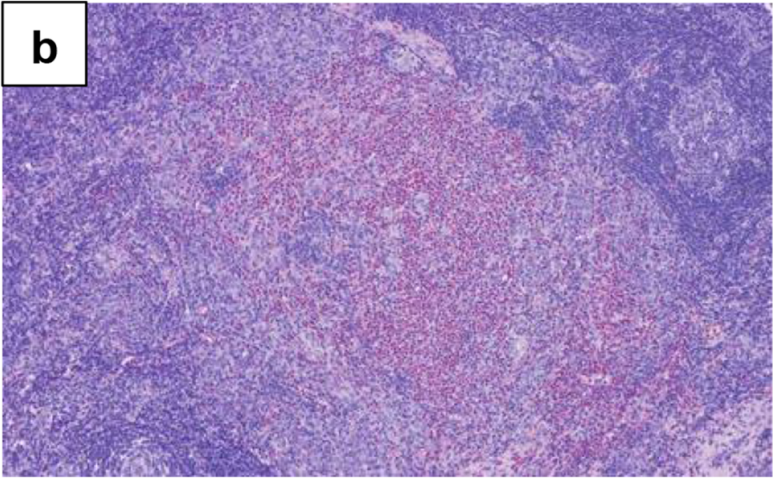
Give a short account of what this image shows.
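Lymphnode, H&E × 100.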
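This section of lymph node shows a dense, roughly oval collection of eosinophils, forming a microabscess in the tissue between the follicles. The eosinophils have bright red-pink cytoplasm and are packed closely together in a sheet. The collection is surrounded by densely packed small lymphocytes with dark blue-purple nuclei. Toward the right and lower edges, darker lymphoid follicles border the eosinophil-rich area.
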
